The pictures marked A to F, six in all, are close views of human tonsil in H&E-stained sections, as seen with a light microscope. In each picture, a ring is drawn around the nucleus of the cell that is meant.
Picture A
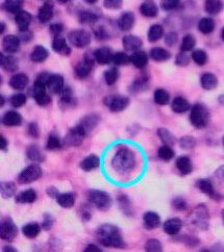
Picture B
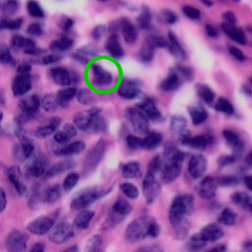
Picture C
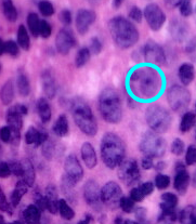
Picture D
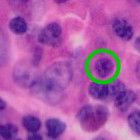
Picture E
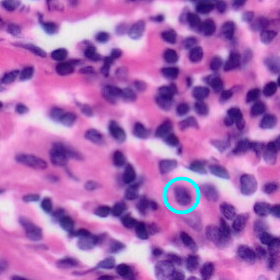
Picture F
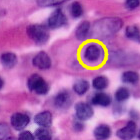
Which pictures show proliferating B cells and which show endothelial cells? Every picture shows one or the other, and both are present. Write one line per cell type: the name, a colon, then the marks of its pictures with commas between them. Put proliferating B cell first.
proliferating B cell: A, B, C
endothelial cell: D, E, F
